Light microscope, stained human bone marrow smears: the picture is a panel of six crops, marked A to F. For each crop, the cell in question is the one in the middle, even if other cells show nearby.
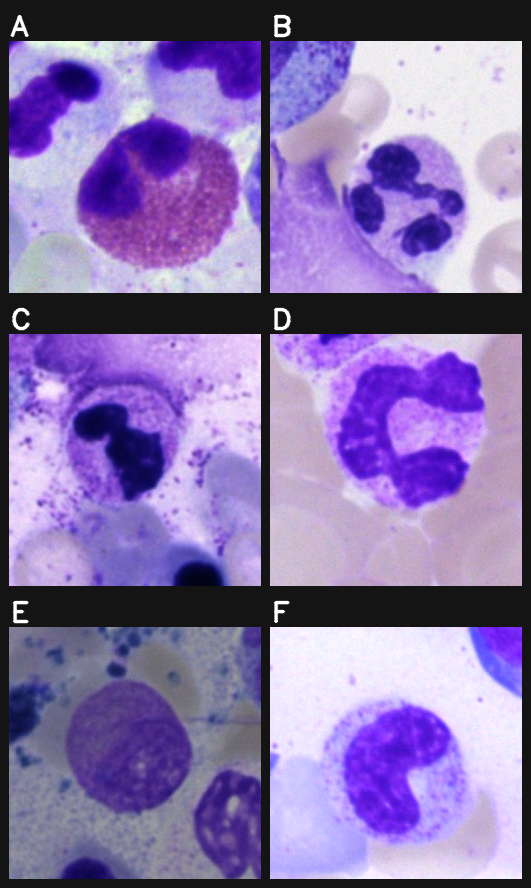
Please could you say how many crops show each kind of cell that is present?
eosinophil: 2
segmented neutrophil: 2
band neutrophil: 2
